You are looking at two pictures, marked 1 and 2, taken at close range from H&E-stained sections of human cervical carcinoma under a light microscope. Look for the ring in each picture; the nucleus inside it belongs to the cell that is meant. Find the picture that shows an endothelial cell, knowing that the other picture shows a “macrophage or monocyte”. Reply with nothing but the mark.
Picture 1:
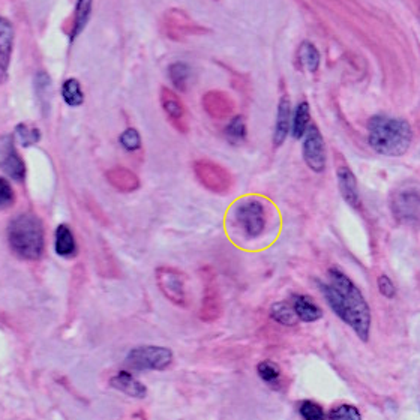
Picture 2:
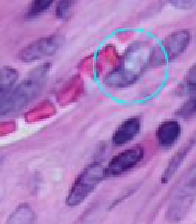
2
